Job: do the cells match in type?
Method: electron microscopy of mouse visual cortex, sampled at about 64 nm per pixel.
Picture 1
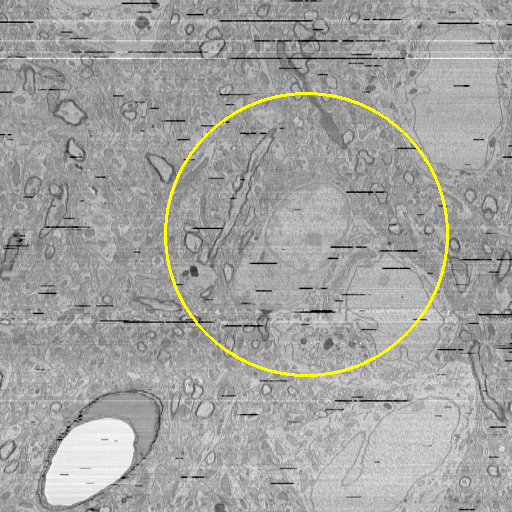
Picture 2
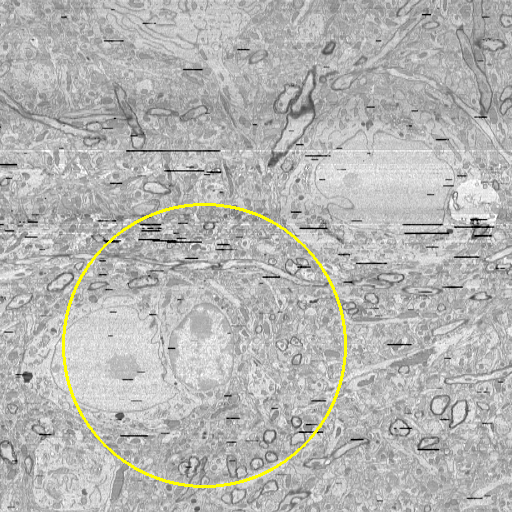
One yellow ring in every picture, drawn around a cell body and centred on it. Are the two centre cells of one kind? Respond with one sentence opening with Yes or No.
Yes, the ringed cells in the two pictures are of one and the same kind.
